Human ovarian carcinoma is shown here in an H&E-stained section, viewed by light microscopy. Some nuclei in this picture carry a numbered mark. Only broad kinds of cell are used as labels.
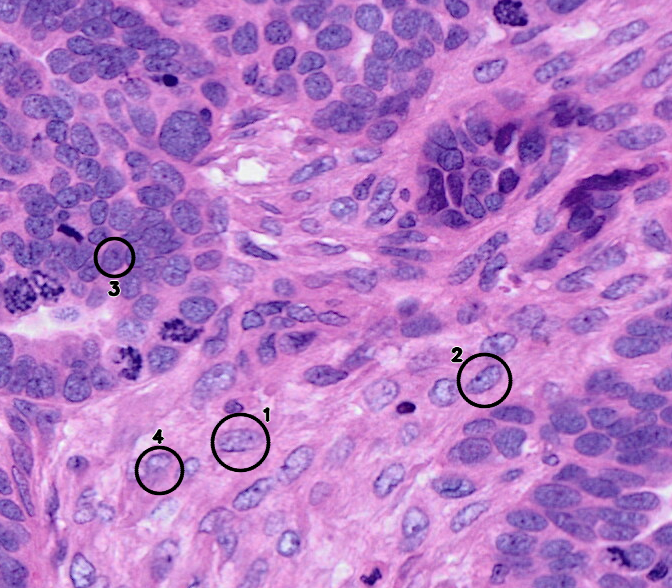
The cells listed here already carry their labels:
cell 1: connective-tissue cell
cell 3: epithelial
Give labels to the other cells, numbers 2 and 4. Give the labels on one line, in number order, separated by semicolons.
connective-tissue cell; connective-tissue cell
